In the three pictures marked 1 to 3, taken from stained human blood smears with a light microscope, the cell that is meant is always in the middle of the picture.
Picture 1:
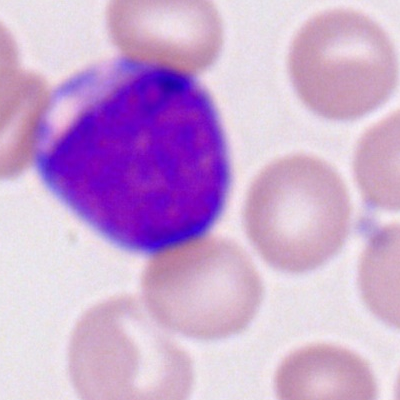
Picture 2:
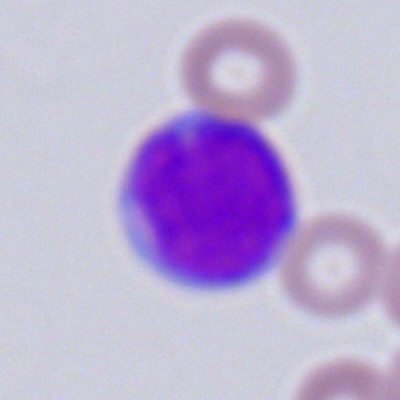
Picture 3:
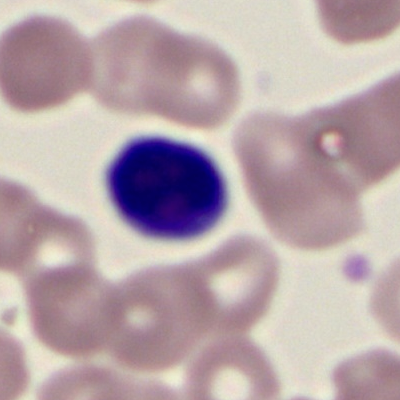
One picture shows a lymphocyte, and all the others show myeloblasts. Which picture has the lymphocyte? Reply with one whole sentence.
The picture with the lymphocyte is 3.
